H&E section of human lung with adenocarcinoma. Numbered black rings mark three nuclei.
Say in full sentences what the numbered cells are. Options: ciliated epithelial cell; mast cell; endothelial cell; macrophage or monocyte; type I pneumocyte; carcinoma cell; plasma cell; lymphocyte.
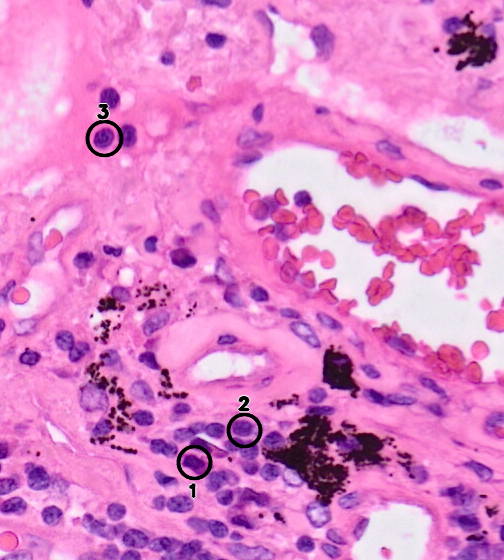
Cell 1 is a plasma cell. Cells 2 and 3 are lymphocytes.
